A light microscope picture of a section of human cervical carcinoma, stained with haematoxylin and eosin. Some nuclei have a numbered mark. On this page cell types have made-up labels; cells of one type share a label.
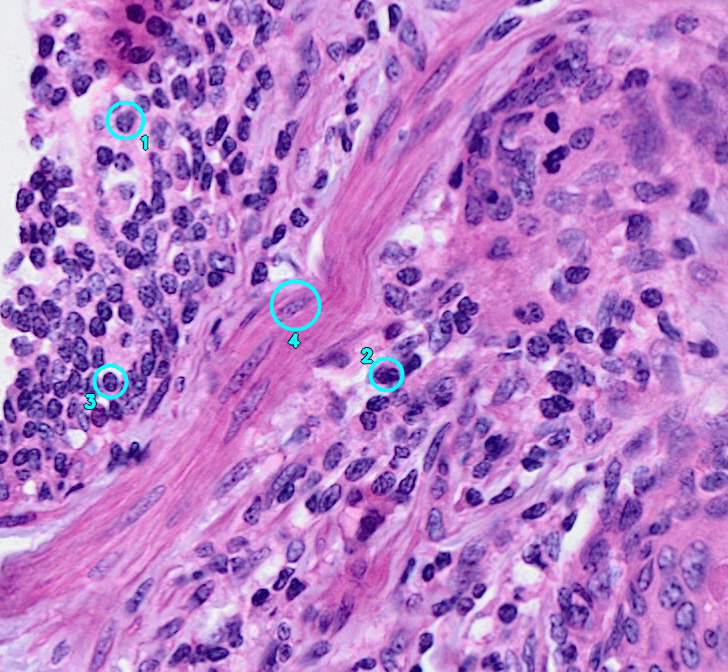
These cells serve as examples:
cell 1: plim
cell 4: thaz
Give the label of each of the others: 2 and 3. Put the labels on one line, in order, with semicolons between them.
plim; plim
